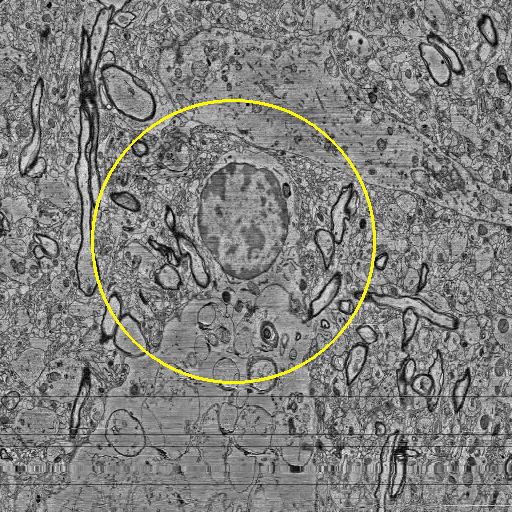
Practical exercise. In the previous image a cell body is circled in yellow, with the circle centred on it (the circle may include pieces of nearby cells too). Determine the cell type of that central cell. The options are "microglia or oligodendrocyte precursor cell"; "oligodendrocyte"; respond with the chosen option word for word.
microglia or oligodendrocyte precursor cell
